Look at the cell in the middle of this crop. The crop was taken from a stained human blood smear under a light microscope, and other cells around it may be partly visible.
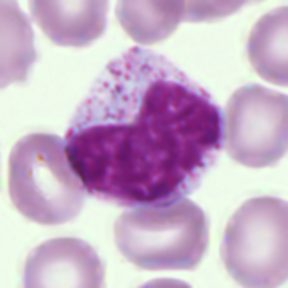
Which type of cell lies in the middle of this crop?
metamyelocyte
